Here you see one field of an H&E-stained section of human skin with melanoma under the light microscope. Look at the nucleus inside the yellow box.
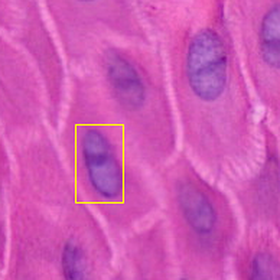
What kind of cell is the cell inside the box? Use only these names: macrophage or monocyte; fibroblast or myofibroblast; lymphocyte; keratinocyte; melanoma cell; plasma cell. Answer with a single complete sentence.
In short, the cell inside the box on this section is a keratinocyte.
